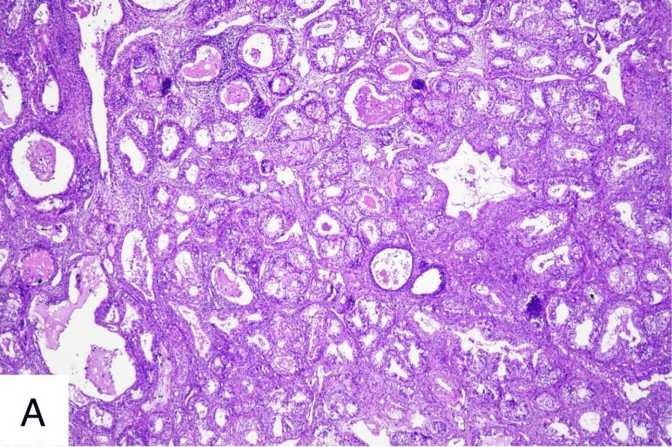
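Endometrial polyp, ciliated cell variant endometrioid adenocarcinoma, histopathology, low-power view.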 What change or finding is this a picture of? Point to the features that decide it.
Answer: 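Numerous glands packed closely together across the field. Little intervening stroma between many adjacent glands.
Conclusion: crowded, back‑to‑back glands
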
